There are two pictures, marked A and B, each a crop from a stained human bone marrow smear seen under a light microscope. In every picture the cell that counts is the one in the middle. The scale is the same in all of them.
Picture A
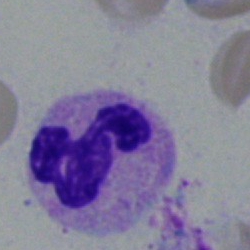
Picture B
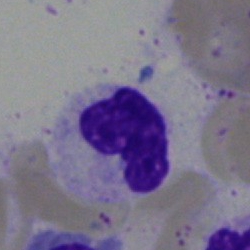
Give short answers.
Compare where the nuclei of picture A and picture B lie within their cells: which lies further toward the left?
A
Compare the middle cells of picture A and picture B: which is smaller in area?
B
